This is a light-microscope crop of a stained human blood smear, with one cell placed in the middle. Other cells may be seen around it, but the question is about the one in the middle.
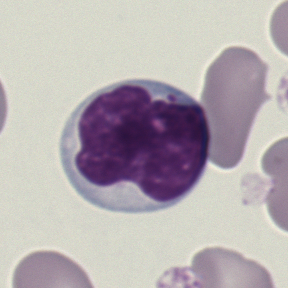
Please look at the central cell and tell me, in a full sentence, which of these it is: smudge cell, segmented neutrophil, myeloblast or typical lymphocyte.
Here the cell in the middle is a typical lymphocyte.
